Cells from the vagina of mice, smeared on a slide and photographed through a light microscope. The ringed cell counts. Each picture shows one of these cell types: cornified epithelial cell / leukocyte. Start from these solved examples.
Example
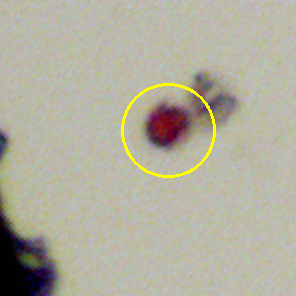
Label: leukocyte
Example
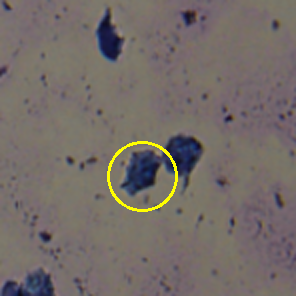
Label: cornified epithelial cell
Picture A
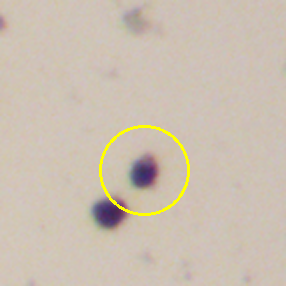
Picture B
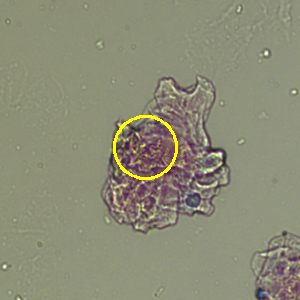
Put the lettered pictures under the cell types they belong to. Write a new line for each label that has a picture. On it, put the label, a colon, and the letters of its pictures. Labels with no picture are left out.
cornified epithelial cell: B
leukocyte: A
